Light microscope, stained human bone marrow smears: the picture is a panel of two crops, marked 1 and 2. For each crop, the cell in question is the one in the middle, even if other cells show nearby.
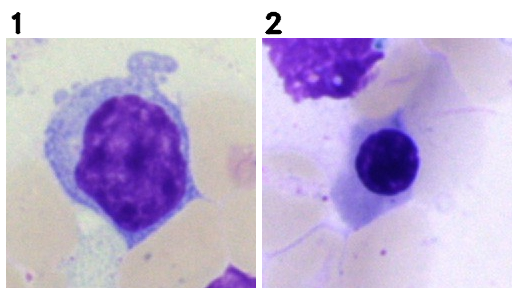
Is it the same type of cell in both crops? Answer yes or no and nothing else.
no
